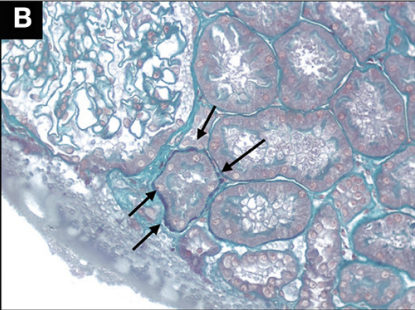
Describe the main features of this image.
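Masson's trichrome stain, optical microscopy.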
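Kidney tissue with part of a glomerulus at the upper left and closely packed round tubules to the right. Along the outer border of some tubules a dark purplish band is seen.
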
